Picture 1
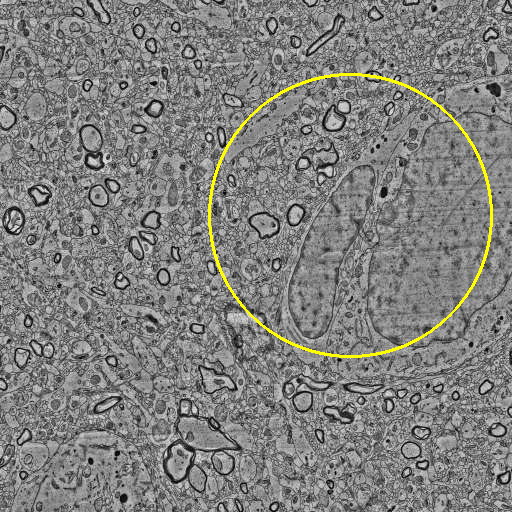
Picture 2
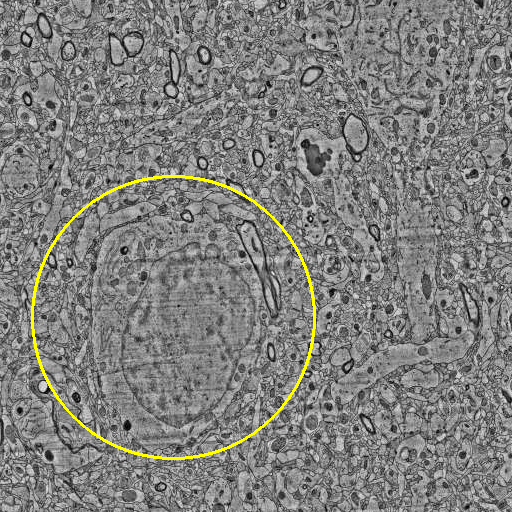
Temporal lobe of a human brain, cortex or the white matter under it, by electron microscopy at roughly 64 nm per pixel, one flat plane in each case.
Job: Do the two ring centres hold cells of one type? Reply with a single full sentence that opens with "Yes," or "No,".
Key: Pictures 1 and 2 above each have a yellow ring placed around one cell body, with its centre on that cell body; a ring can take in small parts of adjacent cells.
No, the cells at the two ring centres are of two separate types.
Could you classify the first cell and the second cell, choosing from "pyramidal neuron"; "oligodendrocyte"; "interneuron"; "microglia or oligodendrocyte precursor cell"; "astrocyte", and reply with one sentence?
The second cell is an interneuron, while the first is a microglial cell or oligodendrocyte precursor cell.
